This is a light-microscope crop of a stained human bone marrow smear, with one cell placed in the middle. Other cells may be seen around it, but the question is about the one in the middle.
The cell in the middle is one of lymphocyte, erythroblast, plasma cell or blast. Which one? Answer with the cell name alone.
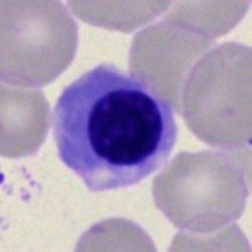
erythroblast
